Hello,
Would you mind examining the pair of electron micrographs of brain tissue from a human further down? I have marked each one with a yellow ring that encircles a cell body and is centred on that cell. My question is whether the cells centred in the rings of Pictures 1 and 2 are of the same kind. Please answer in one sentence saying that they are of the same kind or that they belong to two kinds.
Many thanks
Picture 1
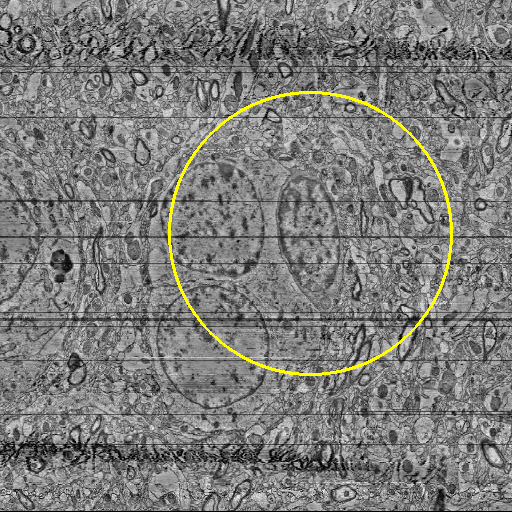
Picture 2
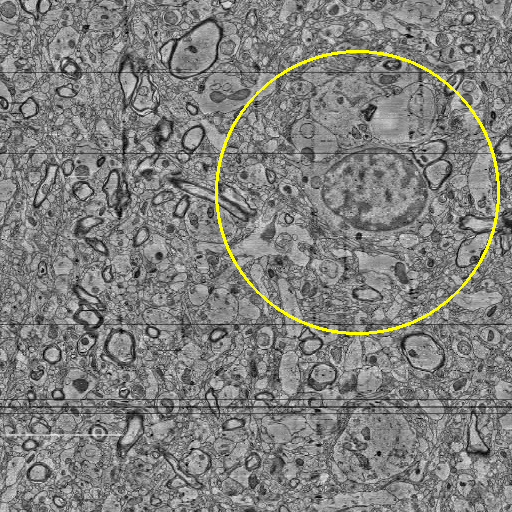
In Pictures 1 and 2, the cells at the heart of the rings are of the same kind.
